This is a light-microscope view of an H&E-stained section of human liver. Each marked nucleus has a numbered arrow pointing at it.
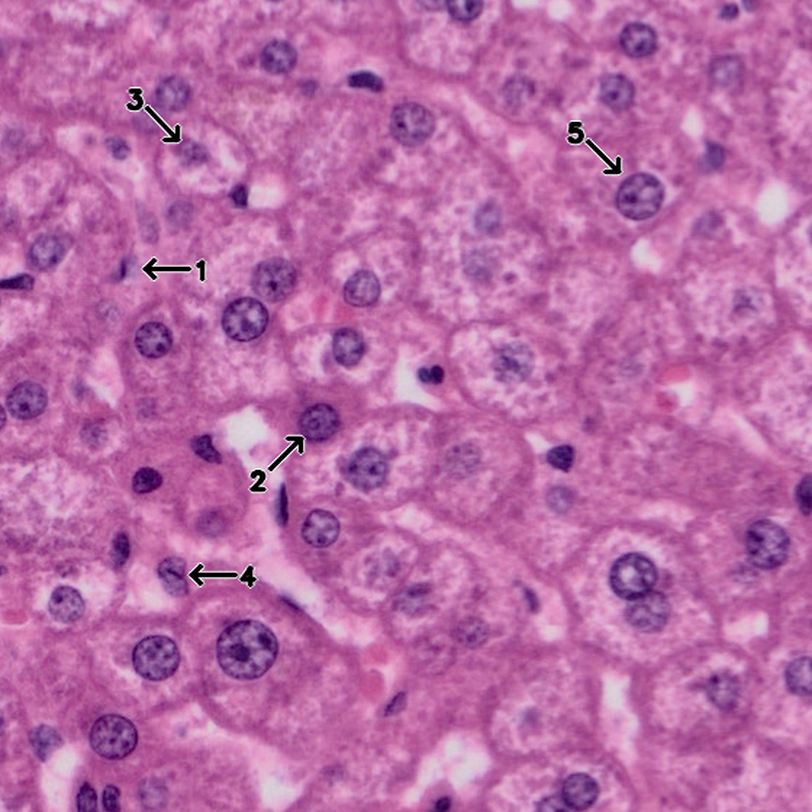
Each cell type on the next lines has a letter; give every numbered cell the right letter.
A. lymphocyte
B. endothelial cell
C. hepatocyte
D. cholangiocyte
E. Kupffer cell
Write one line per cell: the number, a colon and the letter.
1: B
2: C
3: C
4: E
5: C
